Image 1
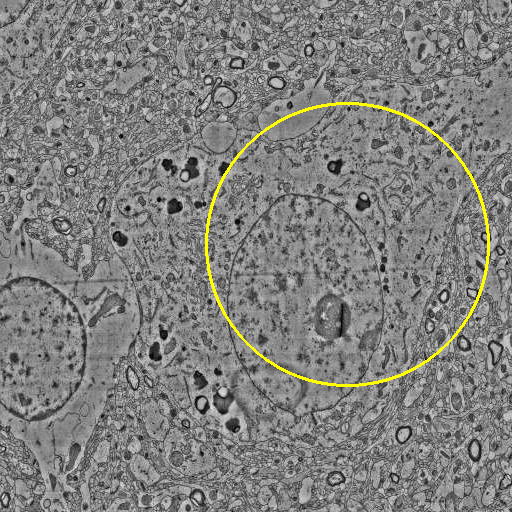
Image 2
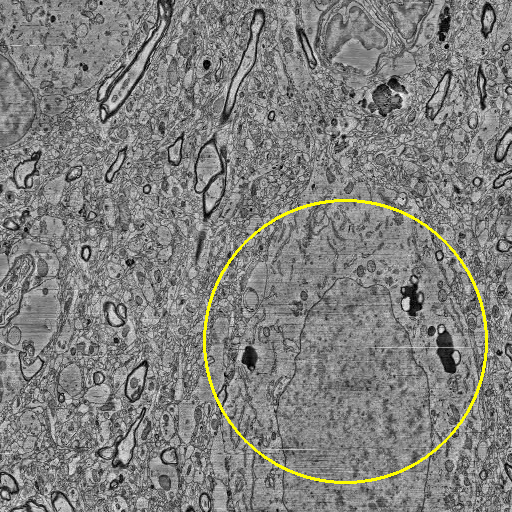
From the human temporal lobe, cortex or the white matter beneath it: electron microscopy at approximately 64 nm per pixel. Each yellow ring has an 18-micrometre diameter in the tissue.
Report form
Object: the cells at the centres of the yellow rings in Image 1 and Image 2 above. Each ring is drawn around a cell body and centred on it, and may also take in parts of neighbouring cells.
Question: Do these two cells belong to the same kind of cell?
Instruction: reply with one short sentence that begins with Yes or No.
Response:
Yes, both belong to the same kind of cell.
